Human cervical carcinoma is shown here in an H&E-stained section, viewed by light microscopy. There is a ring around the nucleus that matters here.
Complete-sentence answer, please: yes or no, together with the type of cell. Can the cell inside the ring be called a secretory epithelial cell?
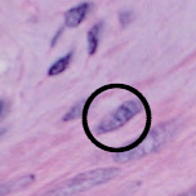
No, in this tissue section, the cell inside the ring is not a secretory epithelial cell but a smooth muscle cell.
